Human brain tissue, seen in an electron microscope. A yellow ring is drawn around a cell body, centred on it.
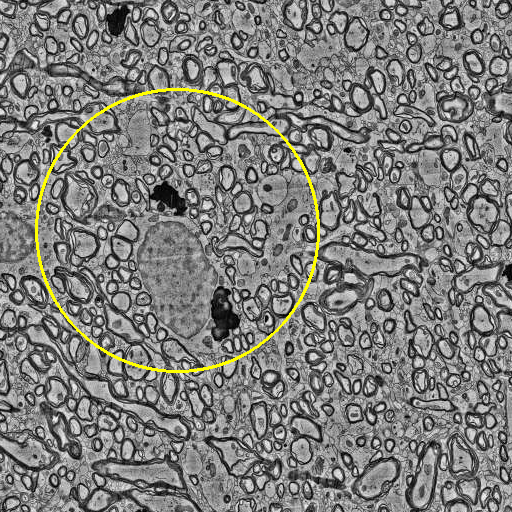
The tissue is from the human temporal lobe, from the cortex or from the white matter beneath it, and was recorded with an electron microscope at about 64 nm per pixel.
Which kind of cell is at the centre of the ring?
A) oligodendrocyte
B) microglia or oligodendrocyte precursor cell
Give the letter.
A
